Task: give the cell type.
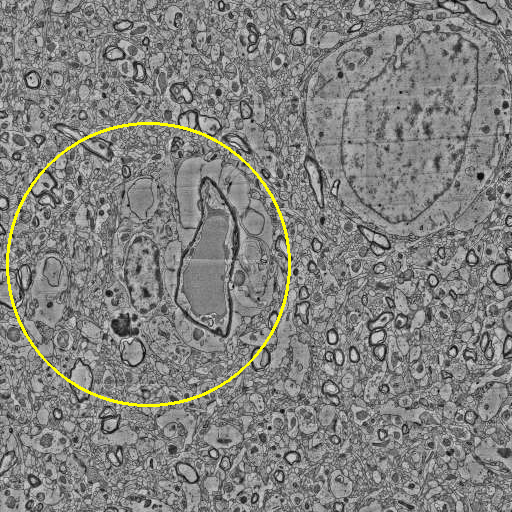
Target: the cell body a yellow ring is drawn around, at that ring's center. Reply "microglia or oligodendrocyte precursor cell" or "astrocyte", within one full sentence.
In this picture, the cell whose body lies at the ring's center is a microglial cell or oligodendrocyte precursor cell.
